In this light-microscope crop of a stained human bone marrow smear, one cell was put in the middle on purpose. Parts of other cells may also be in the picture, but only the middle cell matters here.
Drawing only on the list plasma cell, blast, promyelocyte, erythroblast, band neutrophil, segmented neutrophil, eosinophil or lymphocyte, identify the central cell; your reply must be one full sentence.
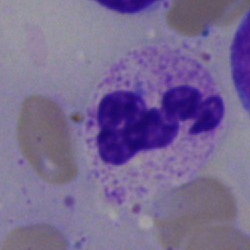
This crop is built around a segmented neutrophil at its centre.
